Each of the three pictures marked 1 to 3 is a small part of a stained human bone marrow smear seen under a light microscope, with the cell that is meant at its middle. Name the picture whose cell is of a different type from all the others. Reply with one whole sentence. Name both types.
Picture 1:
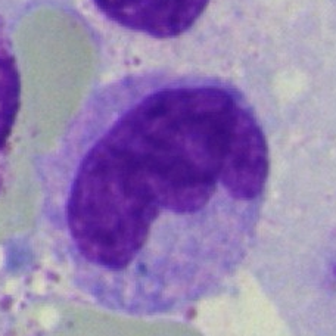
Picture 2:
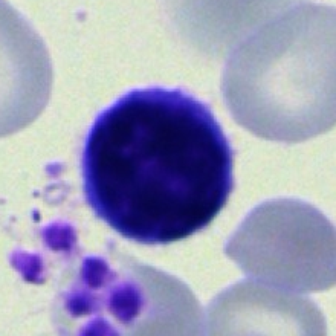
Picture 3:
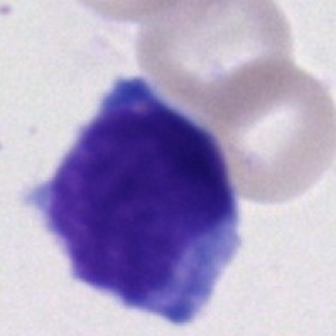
The others show lymphocytes, but picture 1 shows a monocyte.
